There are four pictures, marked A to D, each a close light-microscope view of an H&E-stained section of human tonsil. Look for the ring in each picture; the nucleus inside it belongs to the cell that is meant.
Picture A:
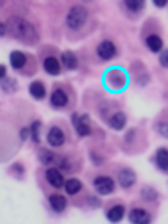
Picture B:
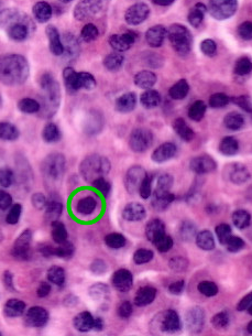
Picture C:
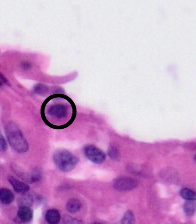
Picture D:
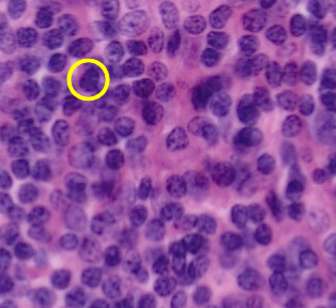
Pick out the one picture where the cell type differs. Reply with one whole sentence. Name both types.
Picture D differs, because its cell is a small lymphocyte and the rest are plasma cells.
